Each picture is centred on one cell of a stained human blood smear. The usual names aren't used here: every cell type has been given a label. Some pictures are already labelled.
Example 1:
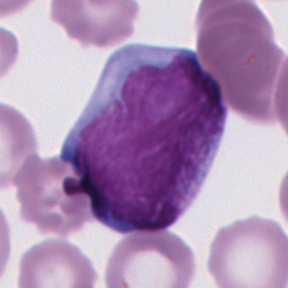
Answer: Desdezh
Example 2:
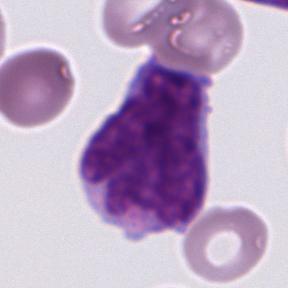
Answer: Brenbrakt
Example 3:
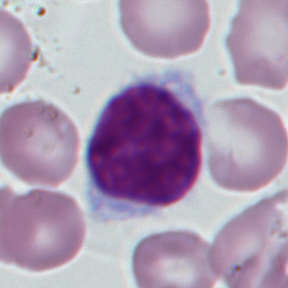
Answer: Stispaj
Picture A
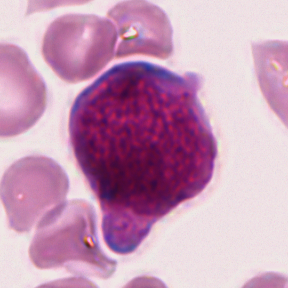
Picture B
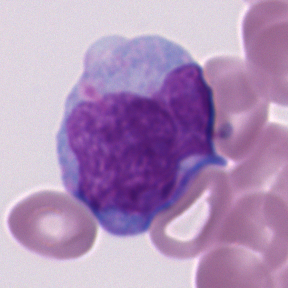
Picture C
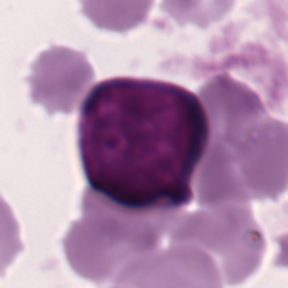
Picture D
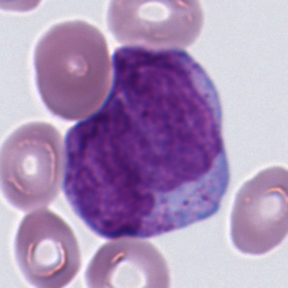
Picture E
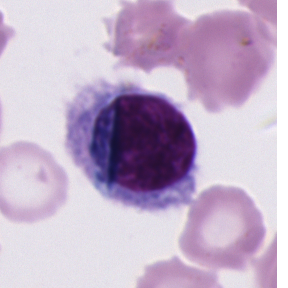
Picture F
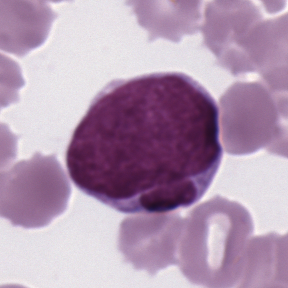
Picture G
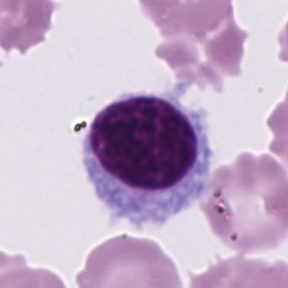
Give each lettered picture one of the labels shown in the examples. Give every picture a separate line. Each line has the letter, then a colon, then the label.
A: Brenbrakt
B: Brenbrakt
C: Desdezh
D: Brenbrakt
E: Stispaj
F: Desdezh
G: Stispaj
